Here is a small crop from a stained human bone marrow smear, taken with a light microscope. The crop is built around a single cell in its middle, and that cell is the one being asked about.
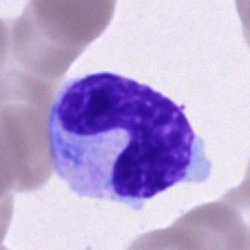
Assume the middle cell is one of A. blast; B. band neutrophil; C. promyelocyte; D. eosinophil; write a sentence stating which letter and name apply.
The central cell, a band neutrophil, is correctly identified by option B.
